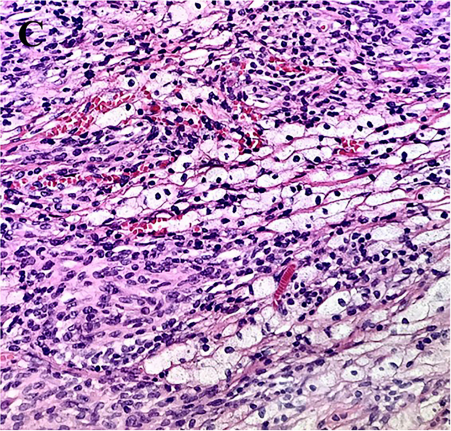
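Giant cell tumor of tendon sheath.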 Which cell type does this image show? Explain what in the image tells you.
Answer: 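Xanthomatous cells. Many cells have pale, clear to foamy cytoplasm with small round central nuclei. These pale cells lie in groups among smaller cells with dark nuclei.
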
